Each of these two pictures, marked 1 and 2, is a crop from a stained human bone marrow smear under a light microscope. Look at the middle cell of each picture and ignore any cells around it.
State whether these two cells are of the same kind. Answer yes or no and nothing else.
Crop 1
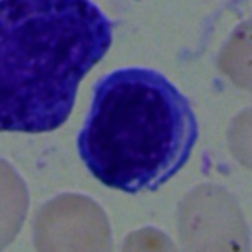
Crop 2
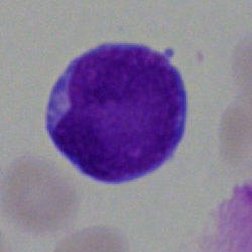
no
